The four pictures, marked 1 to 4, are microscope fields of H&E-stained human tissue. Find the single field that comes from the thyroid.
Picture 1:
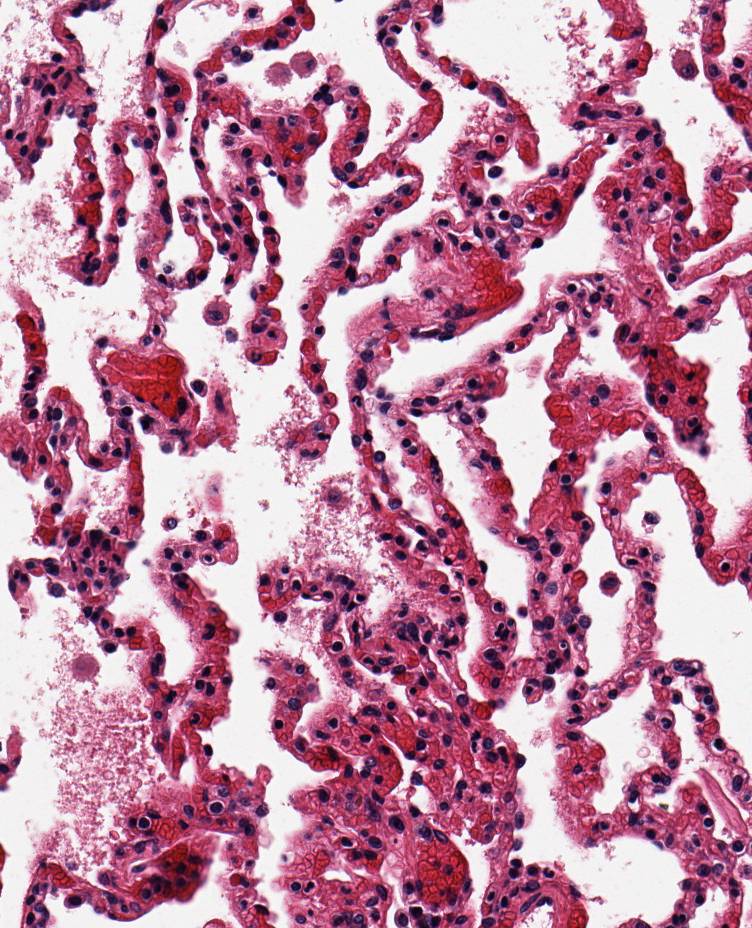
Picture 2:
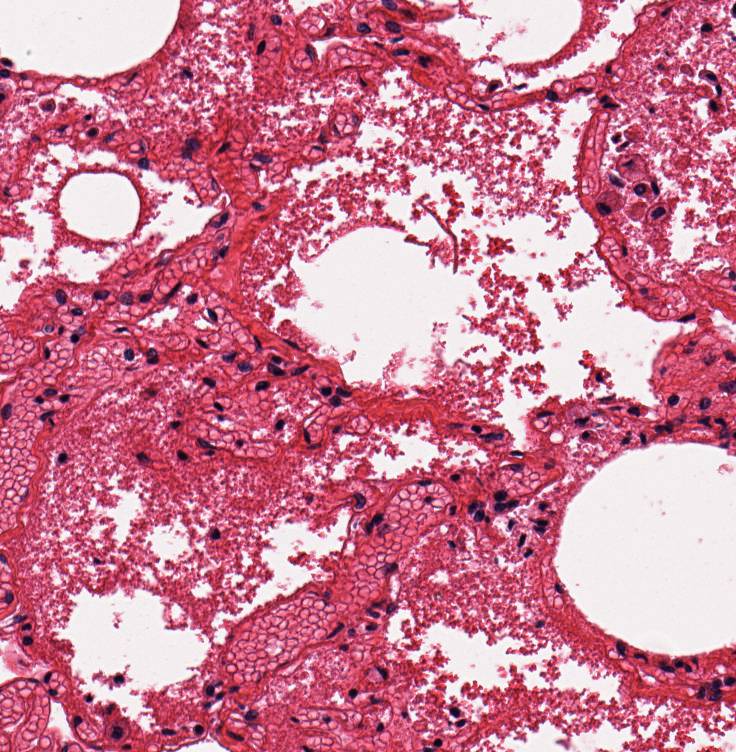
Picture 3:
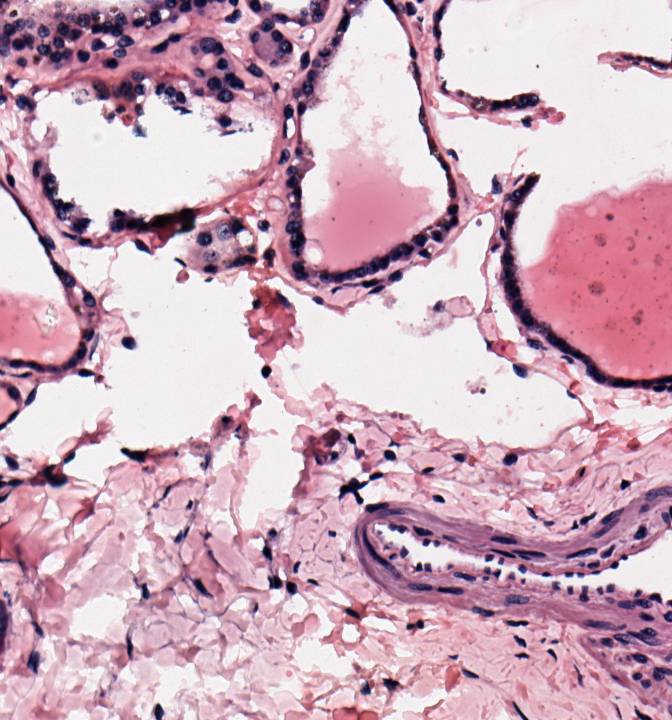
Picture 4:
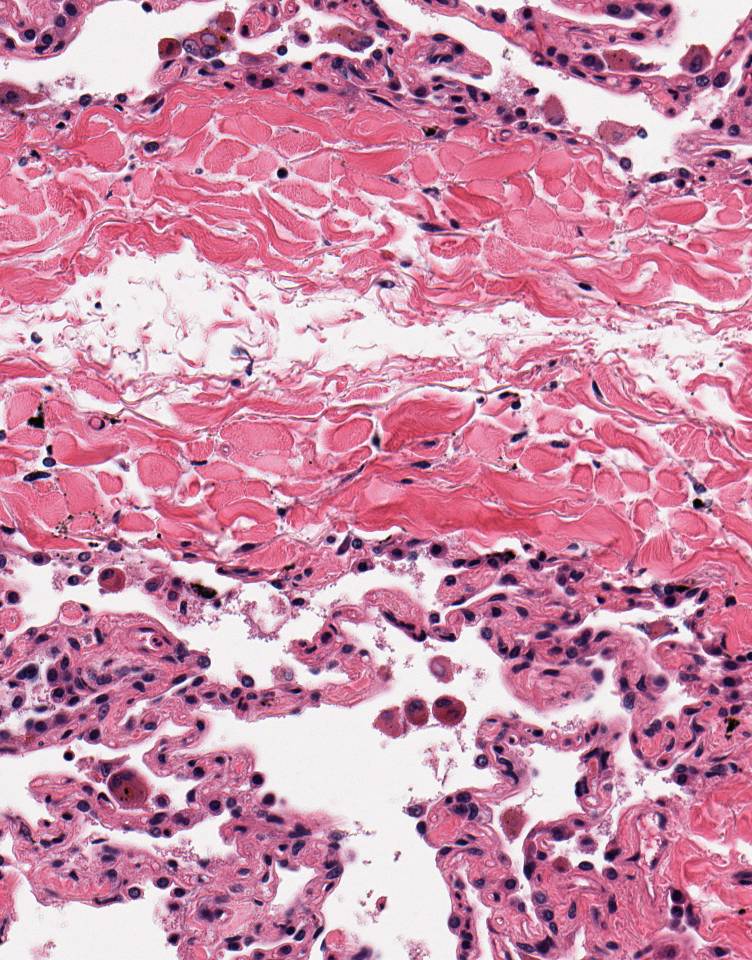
3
